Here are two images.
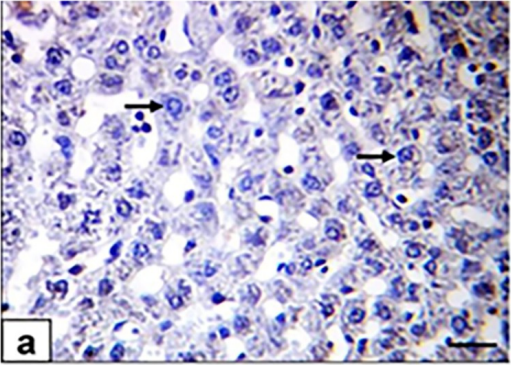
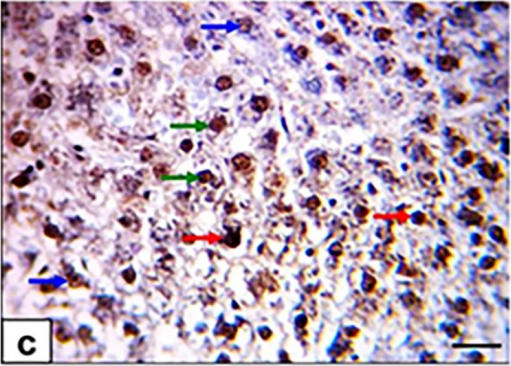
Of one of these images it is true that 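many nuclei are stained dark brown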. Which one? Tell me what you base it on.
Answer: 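Second image: numerous round nuclei are brown, with brown granules in the cytoplasm. First image: nuclei and cytoplasm are blue with no brown. On this evidence: the second image.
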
